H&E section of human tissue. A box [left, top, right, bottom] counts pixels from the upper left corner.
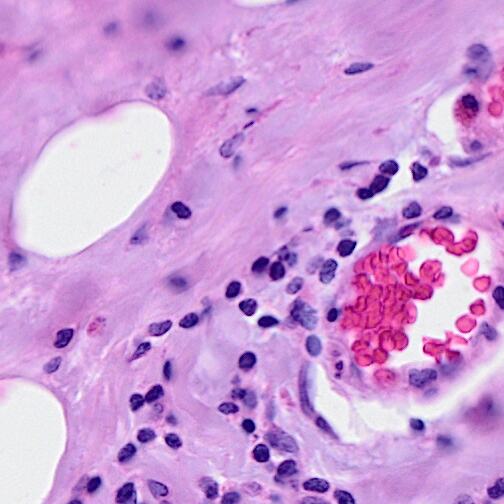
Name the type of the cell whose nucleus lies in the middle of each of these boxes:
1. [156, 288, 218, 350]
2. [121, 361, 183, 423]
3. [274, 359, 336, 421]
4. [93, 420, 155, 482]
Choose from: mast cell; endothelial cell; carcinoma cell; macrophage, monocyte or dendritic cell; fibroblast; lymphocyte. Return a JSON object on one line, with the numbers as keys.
{"1": "lymphocyte", "2": "lymphocyte", "3": "fibroblast", "4": "lymphocyte"}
